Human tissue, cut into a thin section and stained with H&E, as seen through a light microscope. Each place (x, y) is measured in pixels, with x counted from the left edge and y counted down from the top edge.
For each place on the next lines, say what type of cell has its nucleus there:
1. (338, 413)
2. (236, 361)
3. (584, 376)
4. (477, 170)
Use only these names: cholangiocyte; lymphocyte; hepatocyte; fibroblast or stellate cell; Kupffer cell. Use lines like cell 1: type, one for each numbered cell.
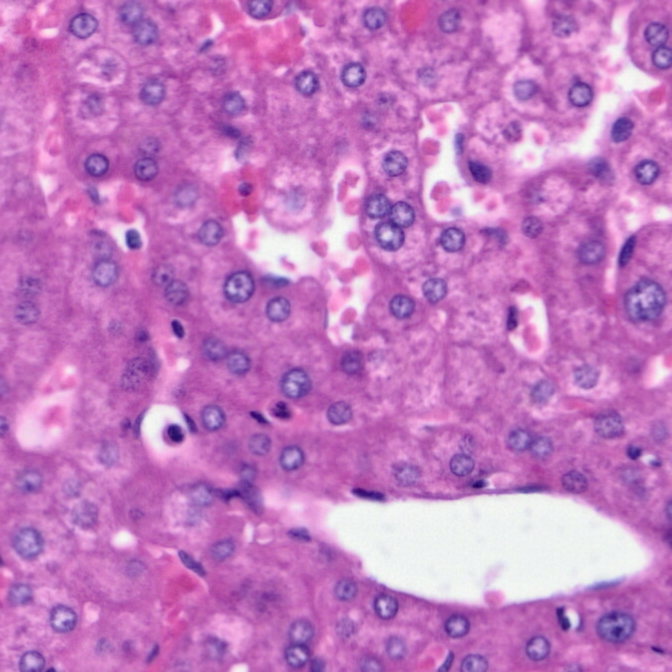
cell 1: hepatocyte
cell 2: hepatocyte
cell 3: hepatocyte
cell 4: fibroblast or stellate cell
